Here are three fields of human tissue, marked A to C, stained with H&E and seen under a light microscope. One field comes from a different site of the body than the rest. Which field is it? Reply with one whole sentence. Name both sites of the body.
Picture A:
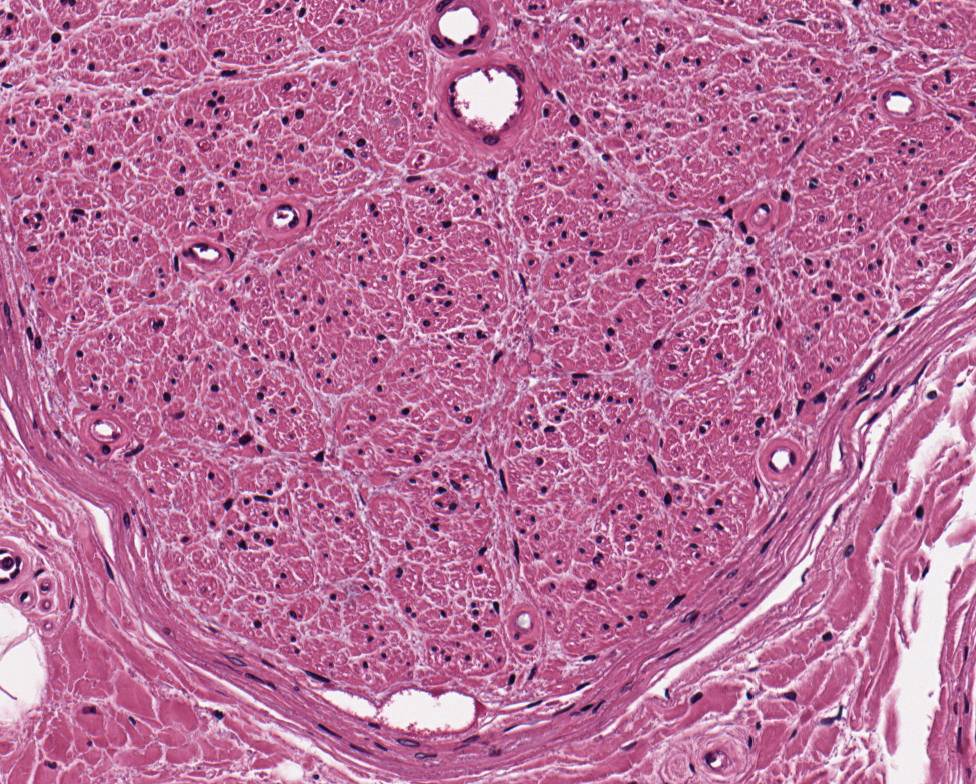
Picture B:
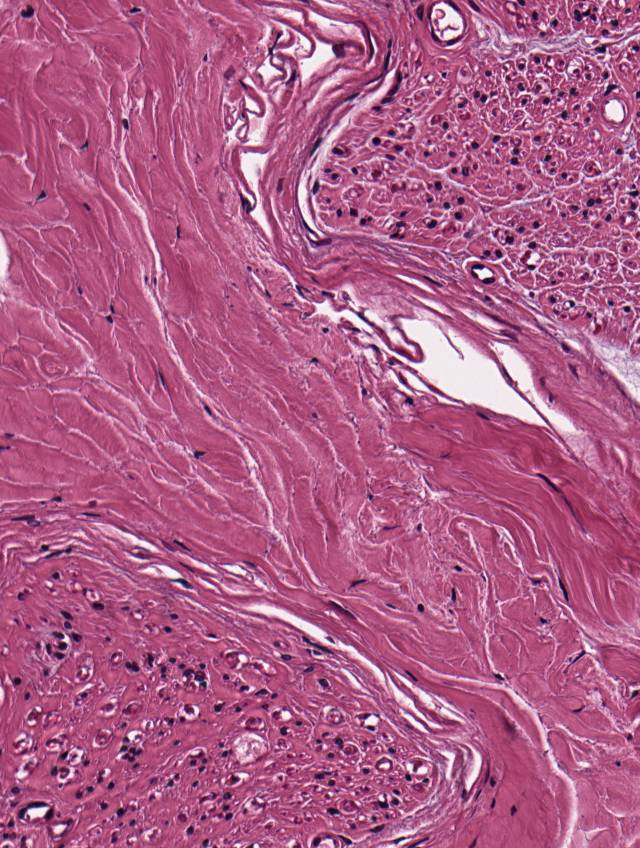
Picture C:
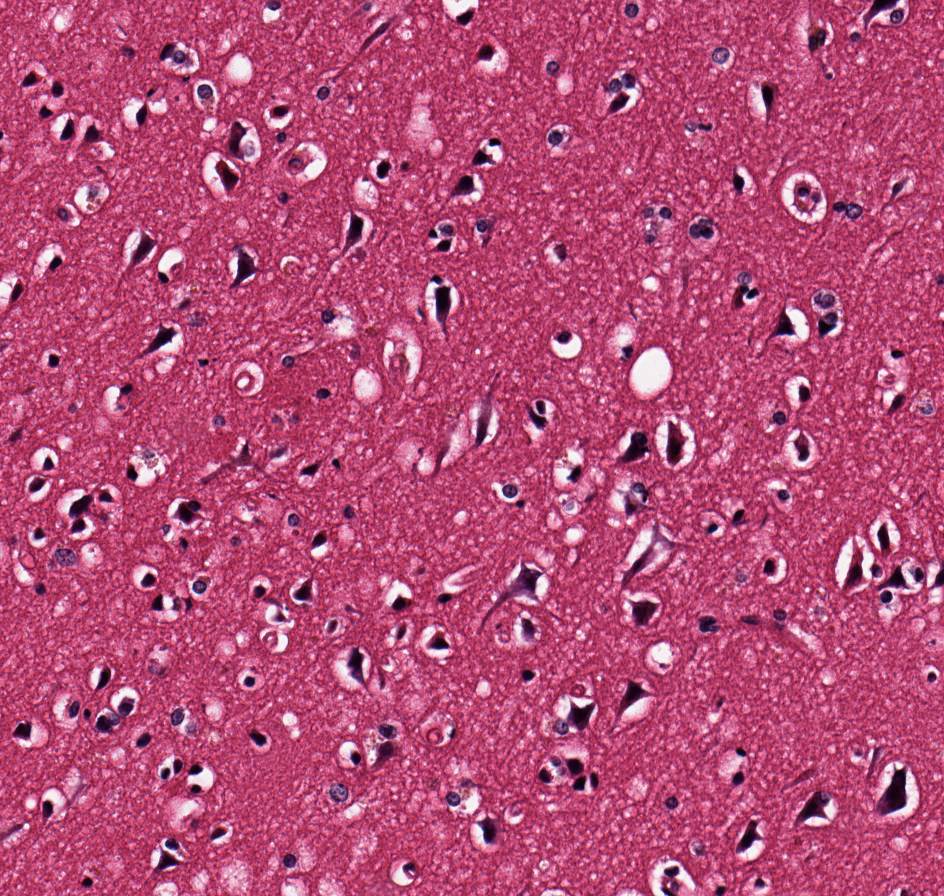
Picture C is the odd one out: it comes from the cerebral cortex, while the others come from the tibial nerve.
